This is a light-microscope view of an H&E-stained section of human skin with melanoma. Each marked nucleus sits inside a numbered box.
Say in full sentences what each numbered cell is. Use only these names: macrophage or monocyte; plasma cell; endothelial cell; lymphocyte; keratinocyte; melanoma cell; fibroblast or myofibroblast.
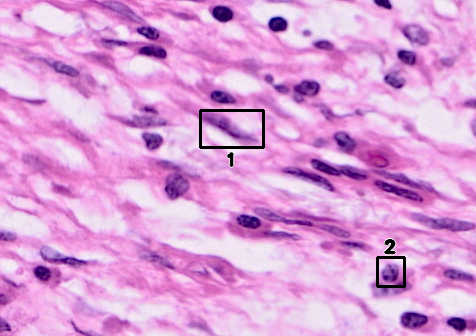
Cell 1 is a fibroblast or myofibroblast. Cell 2 is a plasma cell.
